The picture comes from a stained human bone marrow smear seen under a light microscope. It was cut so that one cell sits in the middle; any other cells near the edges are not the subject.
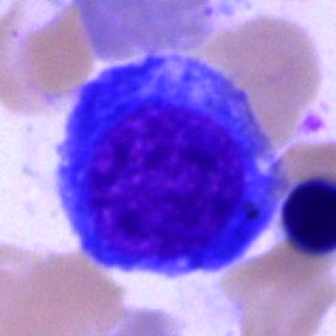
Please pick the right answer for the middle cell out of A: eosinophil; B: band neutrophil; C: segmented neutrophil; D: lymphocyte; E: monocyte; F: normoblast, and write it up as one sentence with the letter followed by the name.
The centrally located cell is a normoblast, making option F the correct choice.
